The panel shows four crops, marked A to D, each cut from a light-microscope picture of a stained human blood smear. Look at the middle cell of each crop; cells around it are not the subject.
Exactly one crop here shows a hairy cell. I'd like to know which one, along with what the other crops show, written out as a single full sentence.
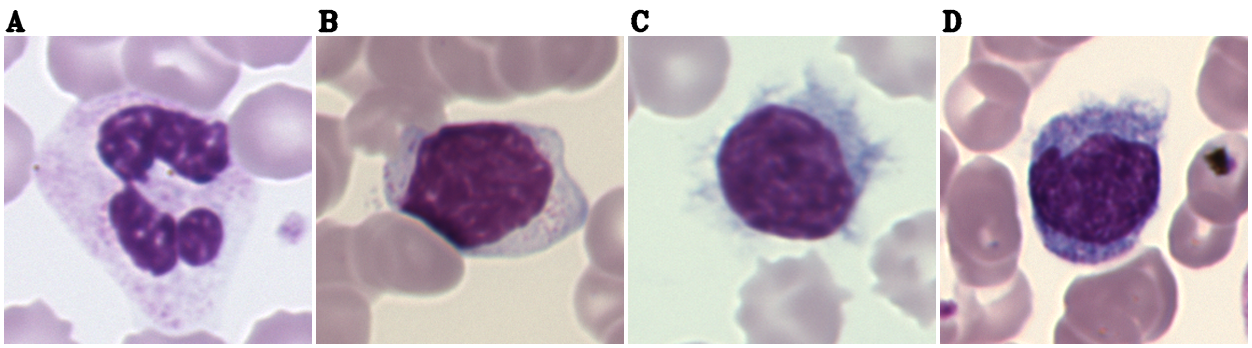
Crop C is read as a hairy cell, while crop A is a segmented neutrophil, crop B is a large granular lymphocyte and crop D is a monocyte.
